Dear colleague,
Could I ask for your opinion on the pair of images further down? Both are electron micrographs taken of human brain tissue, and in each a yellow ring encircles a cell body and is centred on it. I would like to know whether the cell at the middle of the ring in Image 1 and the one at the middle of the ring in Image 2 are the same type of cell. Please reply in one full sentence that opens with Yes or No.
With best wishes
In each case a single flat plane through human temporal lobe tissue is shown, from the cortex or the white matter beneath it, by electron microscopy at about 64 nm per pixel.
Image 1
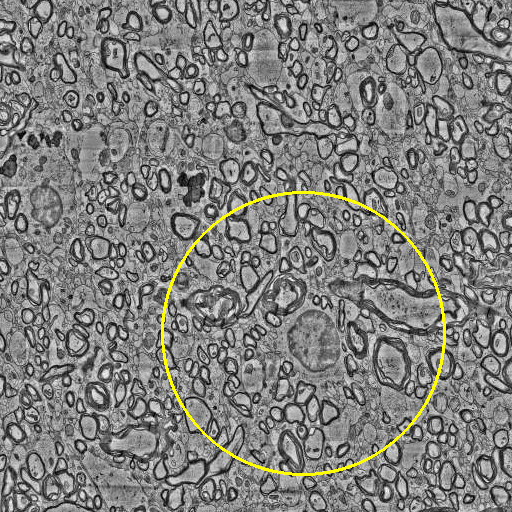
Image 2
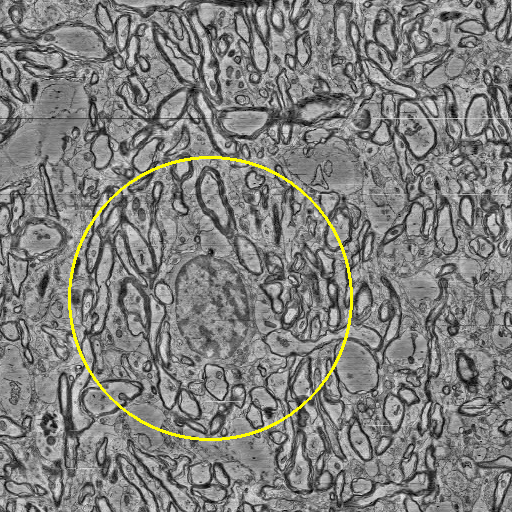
Yes, the cells at the ring centres in Image 1 and Image 2 are of one type.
